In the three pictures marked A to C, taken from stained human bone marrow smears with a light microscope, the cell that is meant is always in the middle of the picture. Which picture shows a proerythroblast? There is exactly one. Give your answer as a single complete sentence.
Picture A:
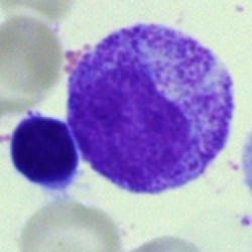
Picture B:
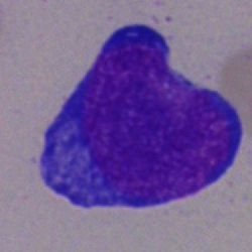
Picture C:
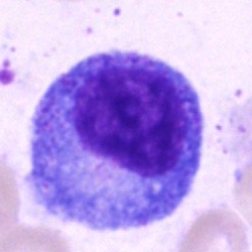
The picture with the proerythroblast is B.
